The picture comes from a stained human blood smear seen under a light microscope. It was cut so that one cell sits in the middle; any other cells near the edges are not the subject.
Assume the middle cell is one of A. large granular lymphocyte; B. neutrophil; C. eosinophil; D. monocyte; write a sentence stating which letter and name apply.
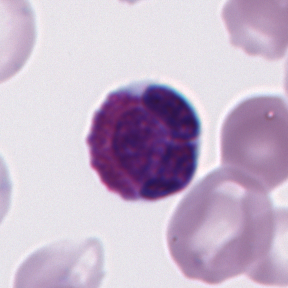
The correct choice is option C, which identifies the middle cell as an eosinophil.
